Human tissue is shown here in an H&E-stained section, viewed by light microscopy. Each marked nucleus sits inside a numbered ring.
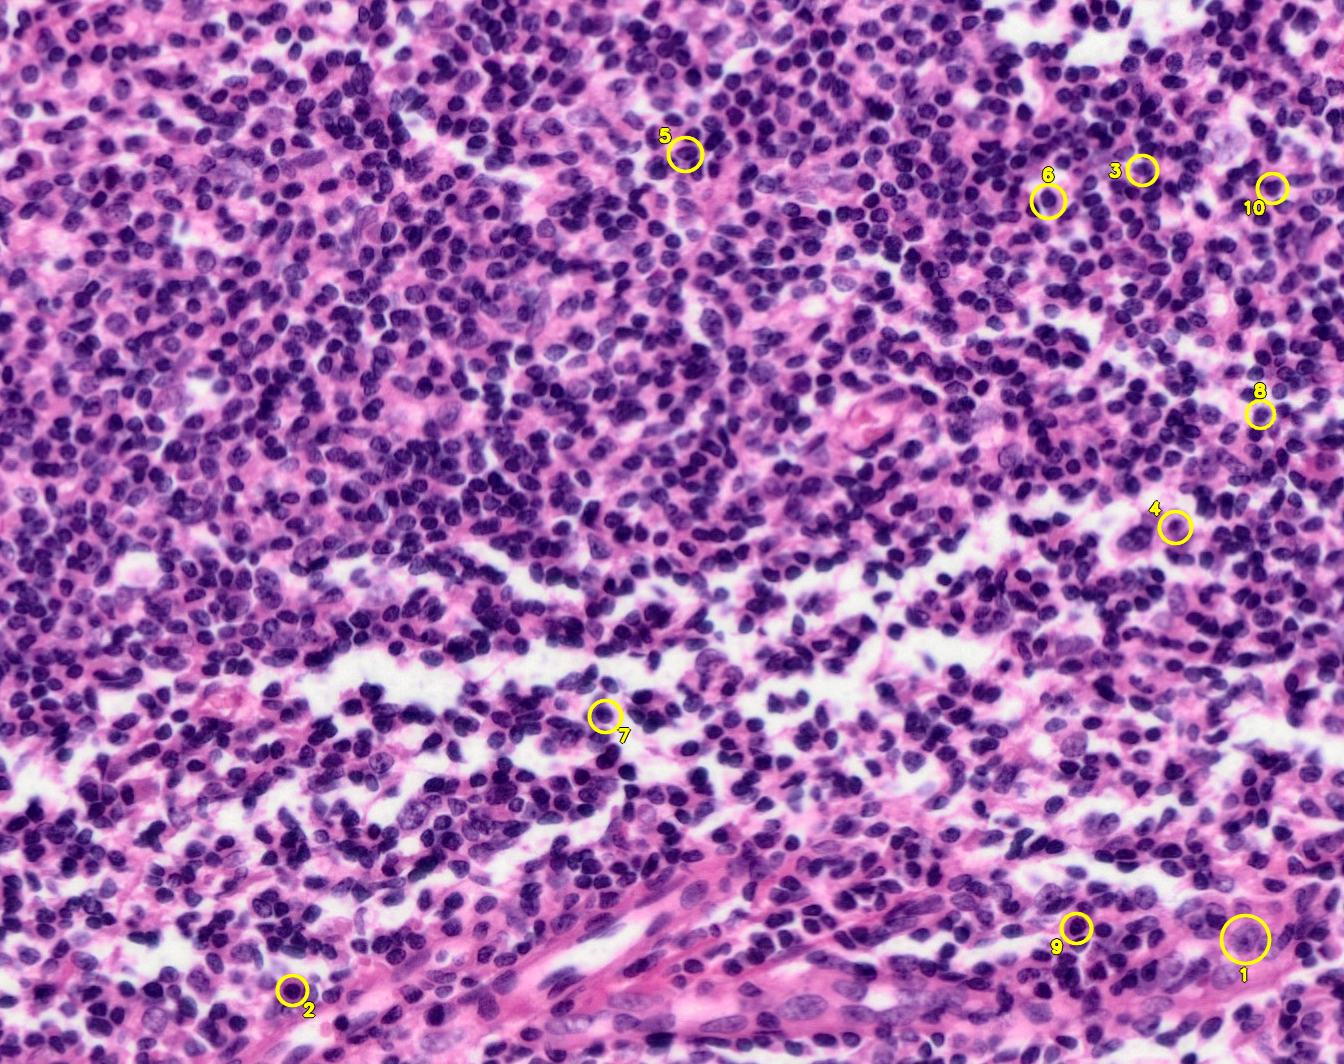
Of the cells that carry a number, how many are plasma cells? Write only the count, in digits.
2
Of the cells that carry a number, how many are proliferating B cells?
1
